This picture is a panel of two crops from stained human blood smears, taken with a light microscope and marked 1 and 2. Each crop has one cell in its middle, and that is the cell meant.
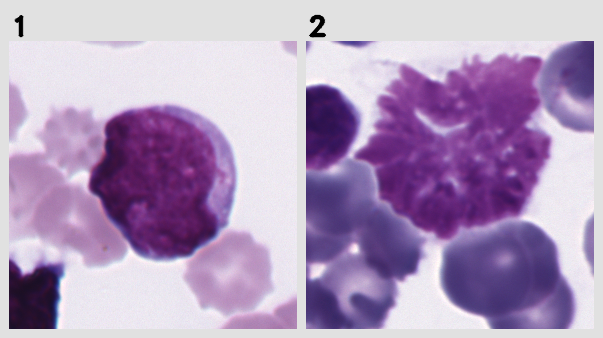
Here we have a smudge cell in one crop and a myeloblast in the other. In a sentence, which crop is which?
The cell in crop 1 is a myeloblast, and the one in crop 2 is a smudge cell.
